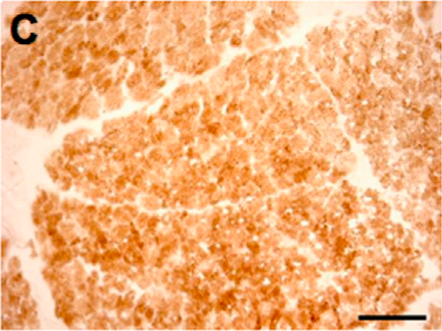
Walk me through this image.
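This is a cross section of skeletal muscle with densely packed polygonal fibres grouped into fascicles. The fibres are stained a strong, finely granular brown throughout their cytoplasm. Pale unstained septa of connective tissue separate the fascicles.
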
